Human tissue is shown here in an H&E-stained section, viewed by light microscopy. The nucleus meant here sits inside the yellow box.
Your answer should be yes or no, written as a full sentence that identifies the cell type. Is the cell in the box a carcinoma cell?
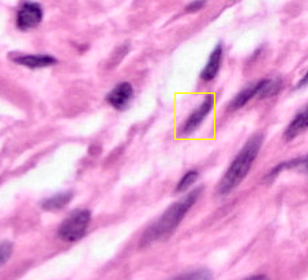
No, the cell in the box does not represent a carcinoma cell; it represents a fibroblast.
